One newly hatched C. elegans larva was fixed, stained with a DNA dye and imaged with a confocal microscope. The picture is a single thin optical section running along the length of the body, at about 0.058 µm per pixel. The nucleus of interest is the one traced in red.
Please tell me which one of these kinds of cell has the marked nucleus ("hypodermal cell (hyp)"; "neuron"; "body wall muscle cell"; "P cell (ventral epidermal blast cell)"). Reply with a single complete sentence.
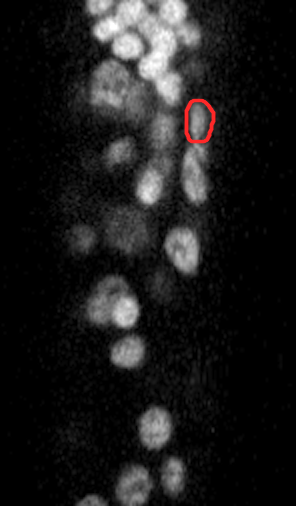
The marked nucleus belongs to a body wall muscle cell.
